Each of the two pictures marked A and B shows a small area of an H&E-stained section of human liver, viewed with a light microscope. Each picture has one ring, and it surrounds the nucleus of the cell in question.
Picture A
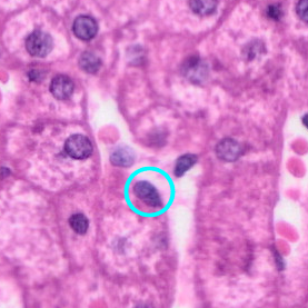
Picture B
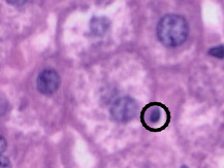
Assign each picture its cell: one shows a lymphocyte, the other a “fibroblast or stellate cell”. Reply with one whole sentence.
Picture A is of a “fibroblast or stellate cell”, and picture B is of a lymphocyte.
